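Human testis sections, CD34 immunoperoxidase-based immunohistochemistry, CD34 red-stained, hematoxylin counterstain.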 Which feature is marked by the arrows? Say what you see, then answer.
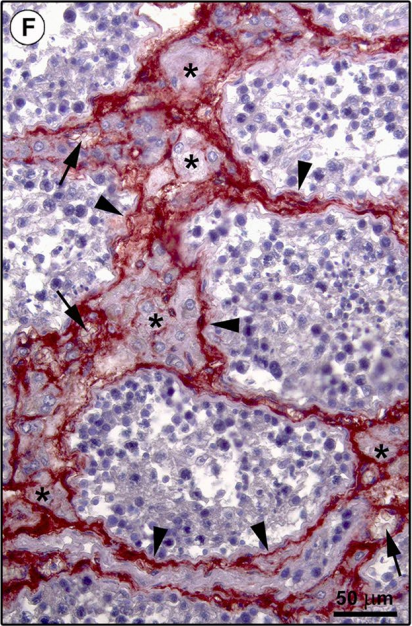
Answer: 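Blood microvessels. Small lumina outlined by red-stained walls in the space between tubules.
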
